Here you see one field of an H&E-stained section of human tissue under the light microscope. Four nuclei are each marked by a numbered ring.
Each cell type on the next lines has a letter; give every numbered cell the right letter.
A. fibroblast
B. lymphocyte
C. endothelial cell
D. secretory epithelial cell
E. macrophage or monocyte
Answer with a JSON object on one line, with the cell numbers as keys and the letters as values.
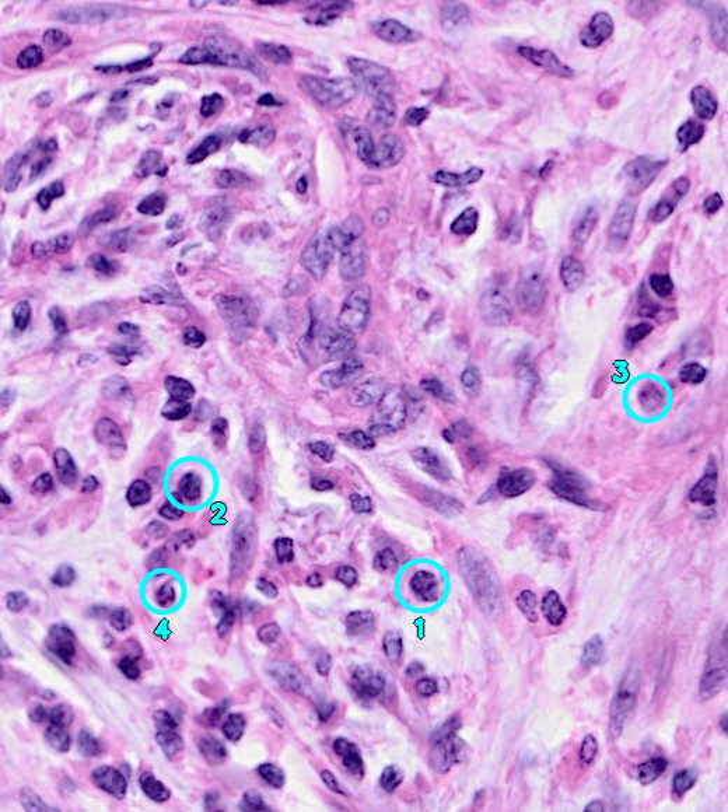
{"1": "B", "2": "B", "3": "E", "4": "B"}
